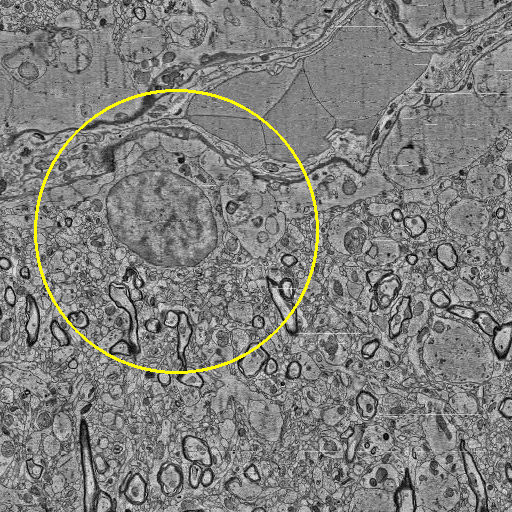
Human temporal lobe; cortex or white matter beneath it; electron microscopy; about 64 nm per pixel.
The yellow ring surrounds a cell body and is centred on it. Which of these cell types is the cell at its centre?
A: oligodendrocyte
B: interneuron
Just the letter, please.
A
